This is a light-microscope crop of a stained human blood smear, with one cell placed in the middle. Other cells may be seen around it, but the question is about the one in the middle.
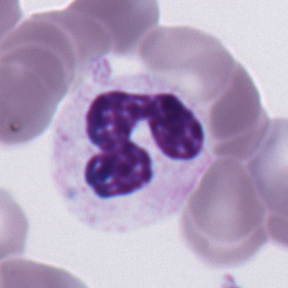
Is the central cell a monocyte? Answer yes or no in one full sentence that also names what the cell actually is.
No, it is not a monocyte that sits at the centre but a segmented neutrophil.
